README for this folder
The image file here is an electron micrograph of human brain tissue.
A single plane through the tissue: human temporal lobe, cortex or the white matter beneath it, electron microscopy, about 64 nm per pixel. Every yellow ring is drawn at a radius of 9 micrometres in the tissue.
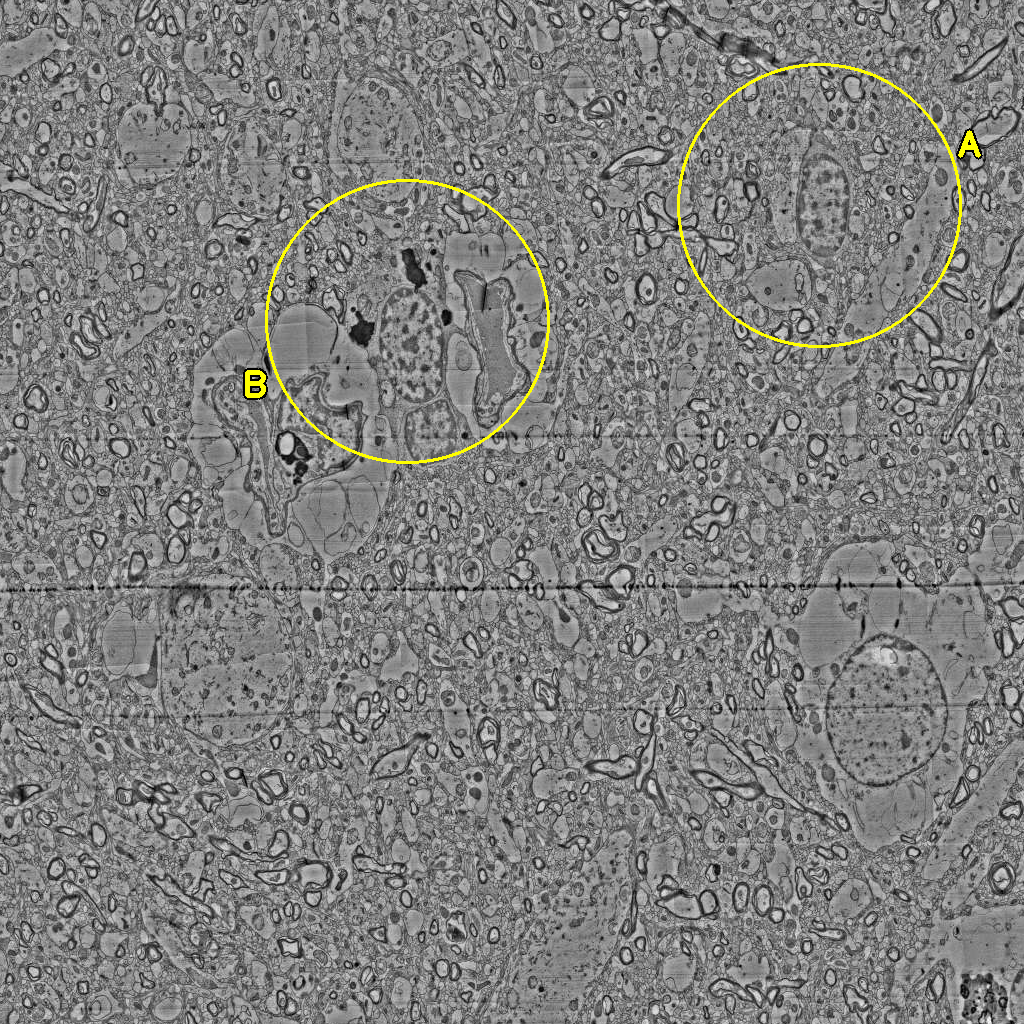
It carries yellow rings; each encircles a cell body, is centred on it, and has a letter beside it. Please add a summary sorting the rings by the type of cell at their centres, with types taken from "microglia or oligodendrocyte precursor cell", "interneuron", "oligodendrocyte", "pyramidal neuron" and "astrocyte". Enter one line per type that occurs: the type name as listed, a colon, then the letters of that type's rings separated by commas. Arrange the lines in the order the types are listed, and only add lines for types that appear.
oligodendrocyte: A, B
